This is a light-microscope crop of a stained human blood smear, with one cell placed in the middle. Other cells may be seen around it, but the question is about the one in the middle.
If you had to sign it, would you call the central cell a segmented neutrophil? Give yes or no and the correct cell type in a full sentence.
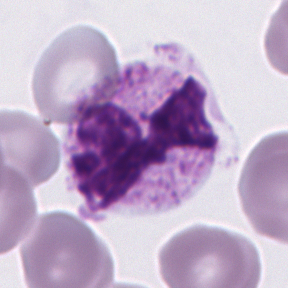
Yes, in the centre of this field sits a segmented neutrophil.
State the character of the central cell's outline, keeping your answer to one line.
Along its border, the cell is uneven, whether by ragged stretches or by projections.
